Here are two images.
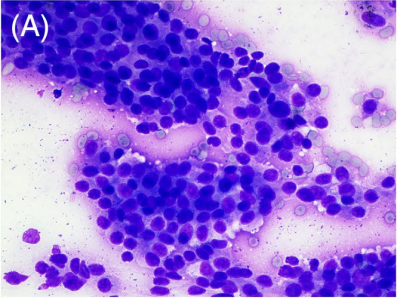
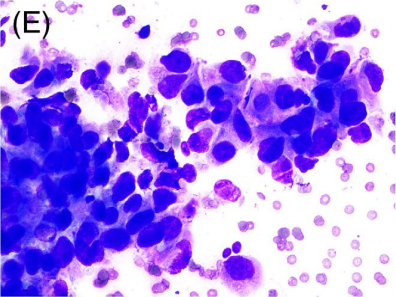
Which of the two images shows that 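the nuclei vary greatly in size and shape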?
The second image.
